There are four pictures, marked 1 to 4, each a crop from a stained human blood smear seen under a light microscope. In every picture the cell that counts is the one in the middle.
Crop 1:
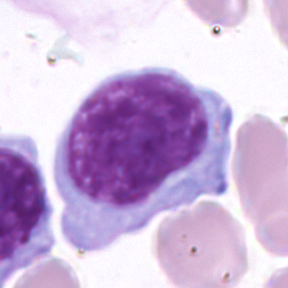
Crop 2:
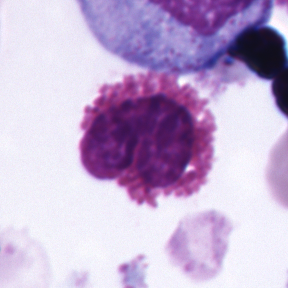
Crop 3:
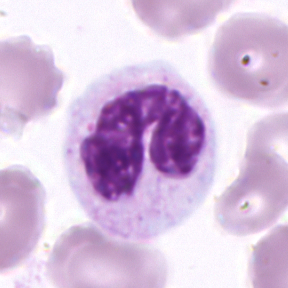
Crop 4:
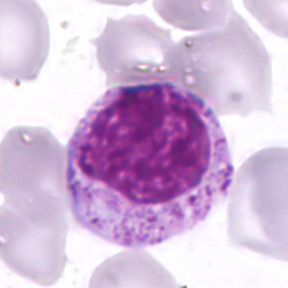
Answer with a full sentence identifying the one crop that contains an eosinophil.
Crop 2, and no other, shows an eosinophil.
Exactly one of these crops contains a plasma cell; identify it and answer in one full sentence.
Of the crops shown, crop 1 depicts a plasma cell.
